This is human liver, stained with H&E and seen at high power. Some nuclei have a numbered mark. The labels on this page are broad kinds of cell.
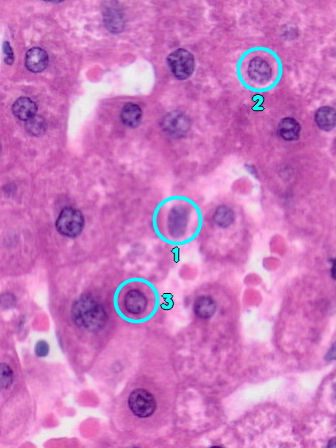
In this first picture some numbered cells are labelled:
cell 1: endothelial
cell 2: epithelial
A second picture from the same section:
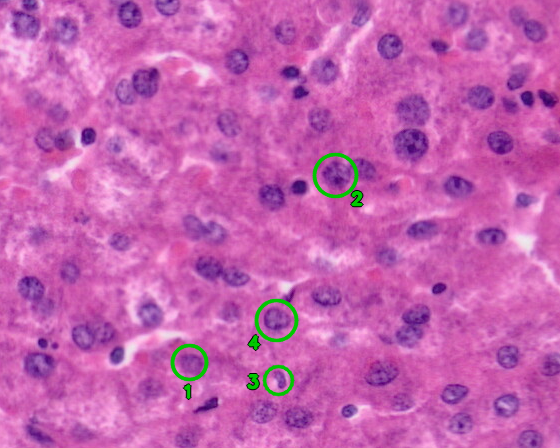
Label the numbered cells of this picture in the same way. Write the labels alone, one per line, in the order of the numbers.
epithelial
epithelial
endothelial
epithelial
